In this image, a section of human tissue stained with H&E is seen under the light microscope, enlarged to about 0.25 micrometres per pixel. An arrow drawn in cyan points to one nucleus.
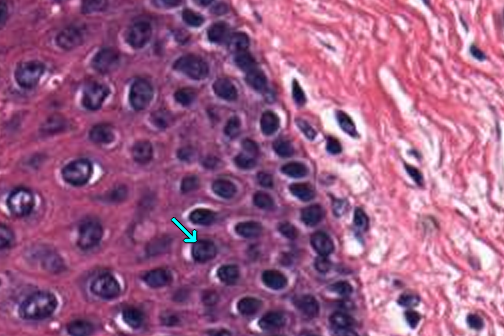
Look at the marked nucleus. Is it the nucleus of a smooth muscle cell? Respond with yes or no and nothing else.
no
